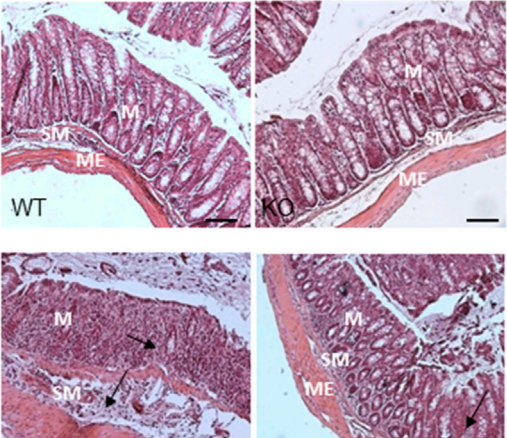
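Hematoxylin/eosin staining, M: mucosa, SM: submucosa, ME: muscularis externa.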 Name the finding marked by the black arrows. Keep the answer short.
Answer: Loss of structure of colonic crypts and infiltration of immune cells.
